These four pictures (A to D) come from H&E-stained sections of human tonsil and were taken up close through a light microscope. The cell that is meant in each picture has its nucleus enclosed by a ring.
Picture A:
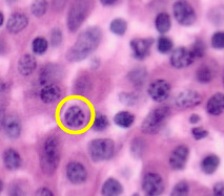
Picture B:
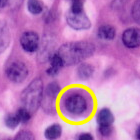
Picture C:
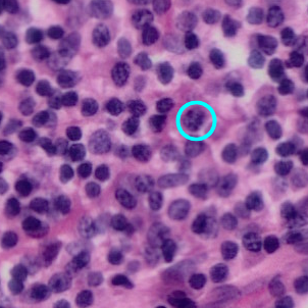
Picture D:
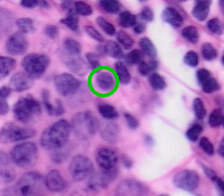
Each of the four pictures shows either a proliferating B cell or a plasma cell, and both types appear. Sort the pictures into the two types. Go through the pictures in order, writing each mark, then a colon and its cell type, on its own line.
A: plasma cell
B: plasma cell
C: plasma cell
D: proliferating B cell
